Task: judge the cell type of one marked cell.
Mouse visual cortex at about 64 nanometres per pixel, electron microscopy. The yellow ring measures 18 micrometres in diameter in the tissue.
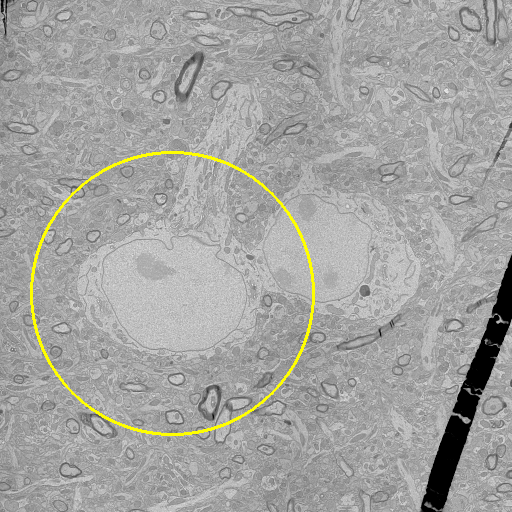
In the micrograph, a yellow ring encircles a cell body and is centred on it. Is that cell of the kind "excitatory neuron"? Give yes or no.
yes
